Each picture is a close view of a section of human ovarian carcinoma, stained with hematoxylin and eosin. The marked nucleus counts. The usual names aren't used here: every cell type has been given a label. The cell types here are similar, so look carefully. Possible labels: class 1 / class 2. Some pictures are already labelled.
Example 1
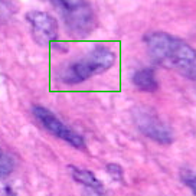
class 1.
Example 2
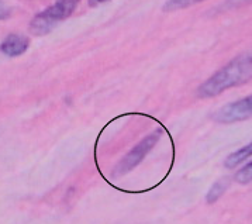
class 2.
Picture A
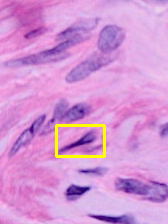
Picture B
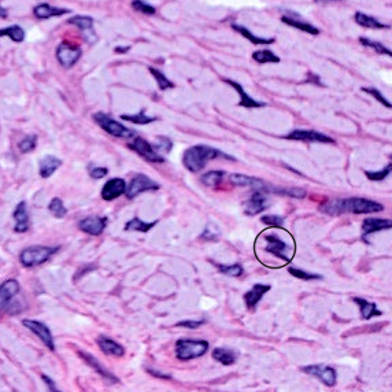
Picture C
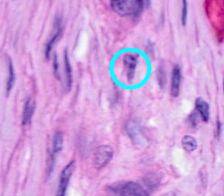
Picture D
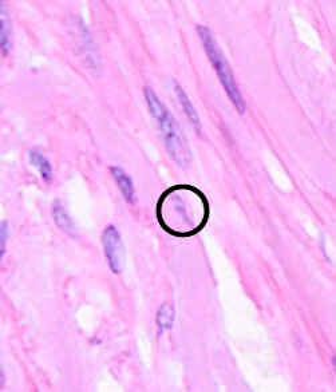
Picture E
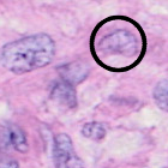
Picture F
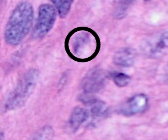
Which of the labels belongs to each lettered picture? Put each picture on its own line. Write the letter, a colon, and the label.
A: class 2.
B: class 1.
C: class 1.
D: class 1.
E: class 1.
F: class 1.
